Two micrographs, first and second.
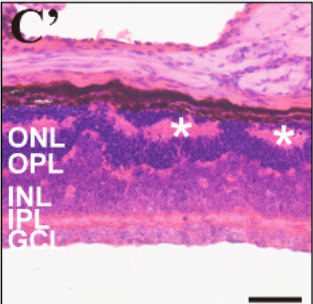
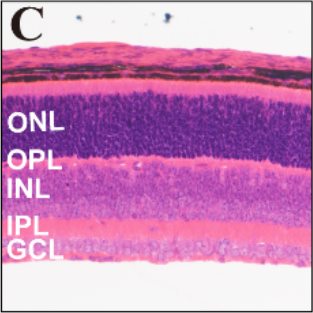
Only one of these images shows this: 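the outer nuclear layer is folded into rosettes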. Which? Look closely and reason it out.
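The first image. First image: the outer nuclear layer has rounded pink pockets ringed by nuclei and an irregular outer edge. Second image: the outer nuclear layer is an even, continuous band of nuclei with a smooth outer edge.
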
